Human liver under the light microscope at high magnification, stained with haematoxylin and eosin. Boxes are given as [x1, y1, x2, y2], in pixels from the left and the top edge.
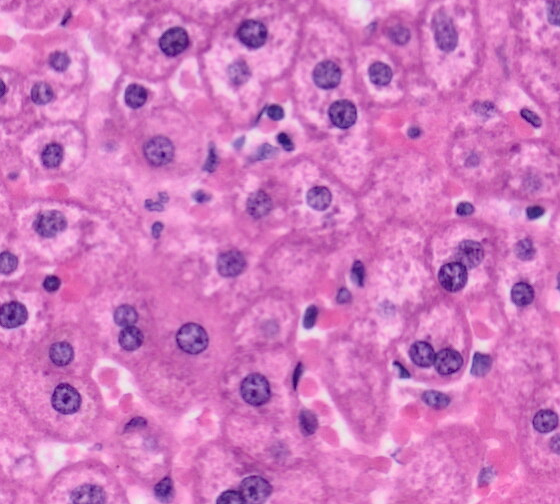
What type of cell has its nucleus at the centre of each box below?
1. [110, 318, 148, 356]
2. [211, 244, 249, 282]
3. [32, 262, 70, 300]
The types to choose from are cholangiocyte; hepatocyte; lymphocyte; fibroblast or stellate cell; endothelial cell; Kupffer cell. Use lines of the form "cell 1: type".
cell 1: hepatocyte
cell 2: hepatocyte
cell 3: lymphocyte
